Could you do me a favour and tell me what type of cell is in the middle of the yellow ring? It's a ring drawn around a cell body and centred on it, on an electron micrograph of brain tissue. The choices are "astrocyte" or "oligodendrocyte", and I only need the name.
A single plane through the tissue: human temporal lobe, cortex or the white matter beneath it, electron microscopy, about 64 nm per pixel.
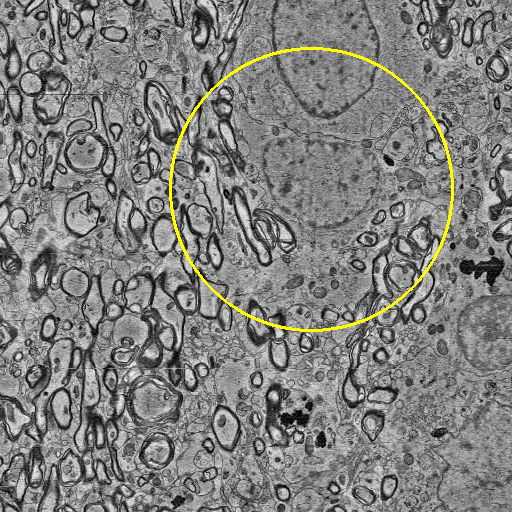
astrocyte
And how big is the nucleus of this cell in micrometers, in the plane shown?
In this plane, the nucleus is roughly 8 by 6 micrometres.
